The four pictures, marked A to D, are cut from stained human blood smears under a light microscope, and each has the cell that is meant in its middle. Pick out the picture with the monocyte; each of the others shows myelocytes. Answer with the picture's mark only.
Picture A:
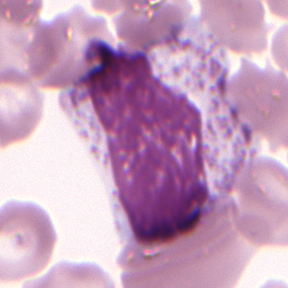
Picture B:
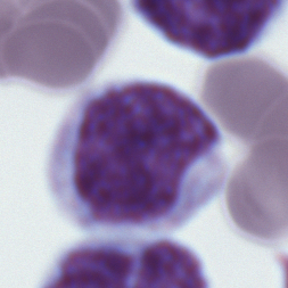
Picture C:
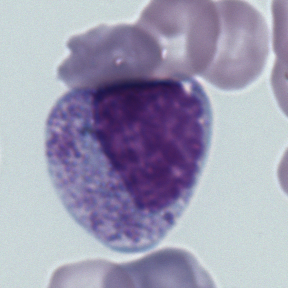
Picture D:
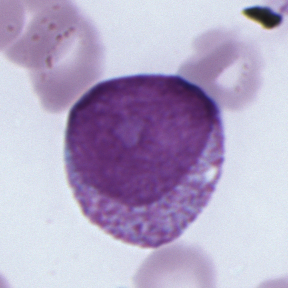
B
